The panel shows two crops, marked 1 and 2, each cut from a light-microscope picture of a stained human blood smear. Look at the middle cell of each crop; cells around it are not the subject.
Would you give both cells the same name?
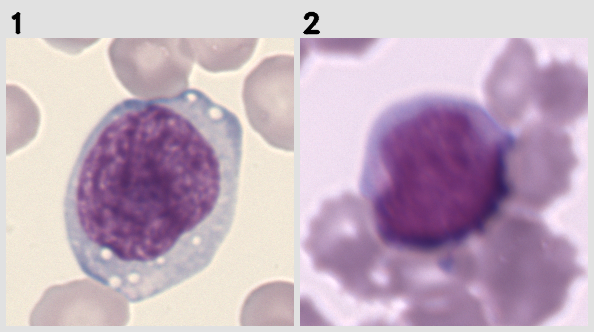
yes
